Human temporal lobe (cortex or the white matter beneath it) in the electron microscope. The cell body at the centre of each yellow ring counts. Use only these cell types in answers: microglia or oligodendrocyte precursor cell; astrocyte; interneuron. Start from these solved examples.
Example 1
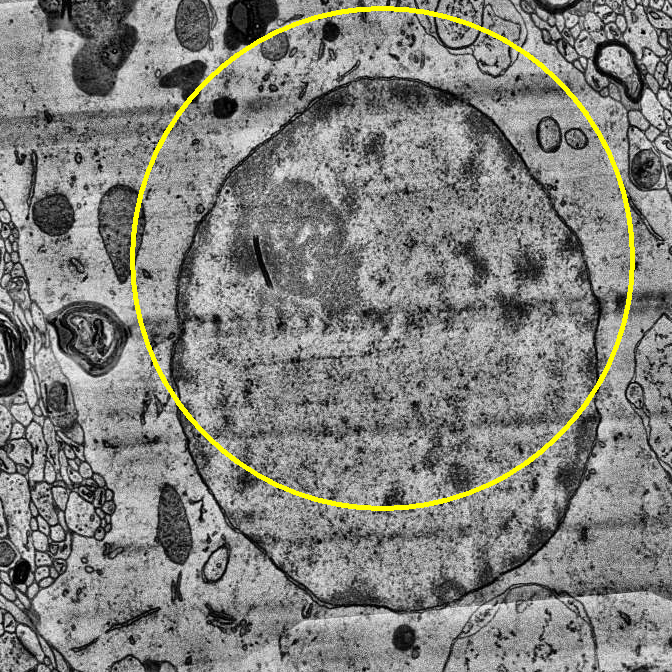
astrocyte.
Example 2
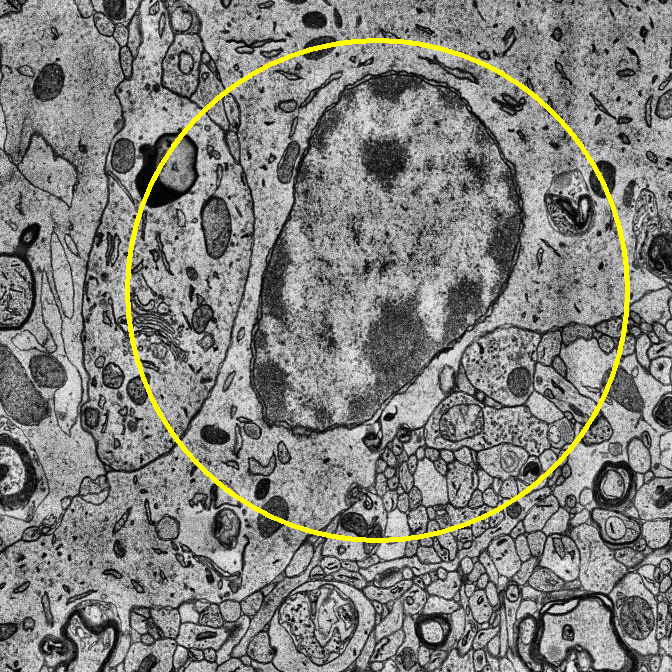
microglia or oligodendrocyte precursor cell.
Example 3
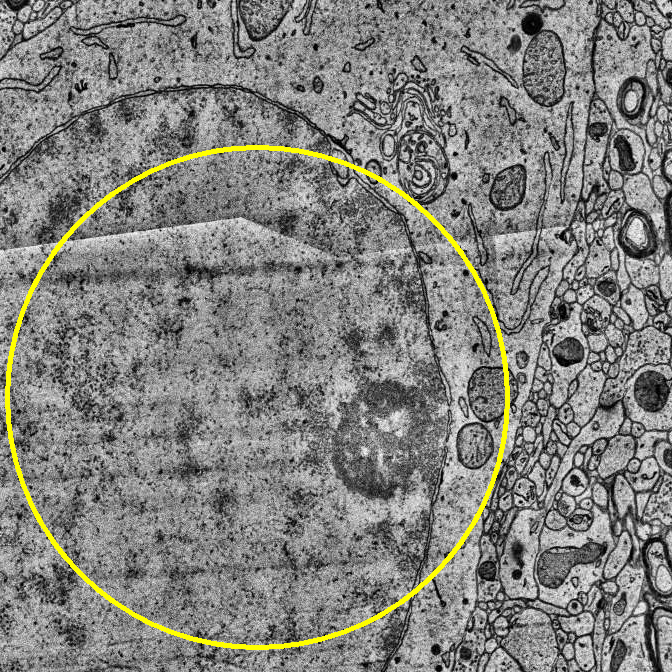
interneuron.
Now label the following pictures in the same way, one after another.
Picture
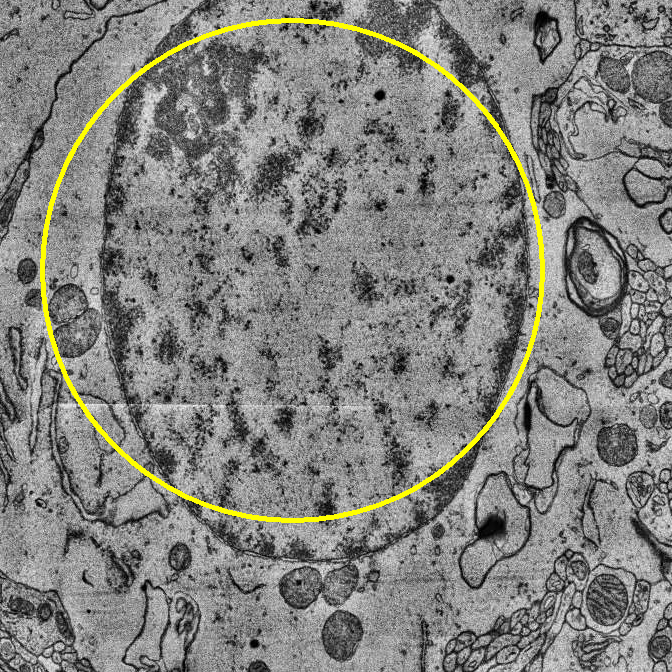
astrocyte.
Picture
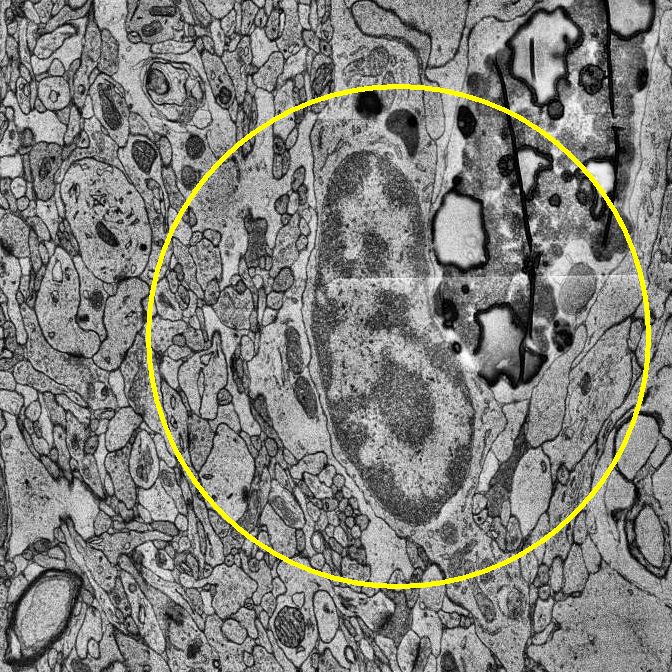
microglia or oligodendrocyte precursor cell.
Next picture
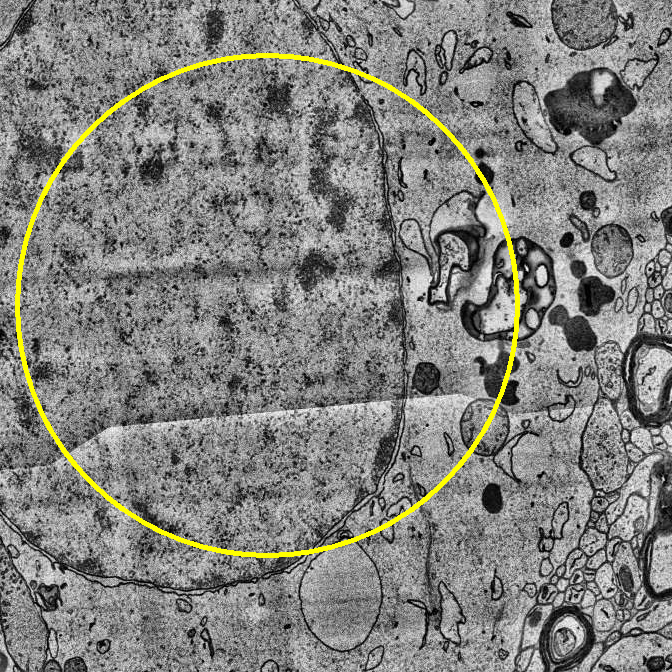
astrocyte.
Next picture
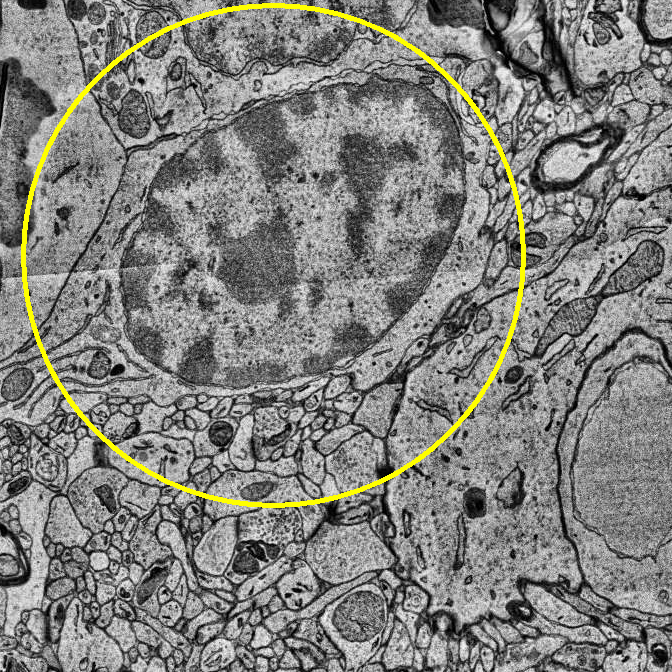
microglia or oligodendrocyte precursor cell.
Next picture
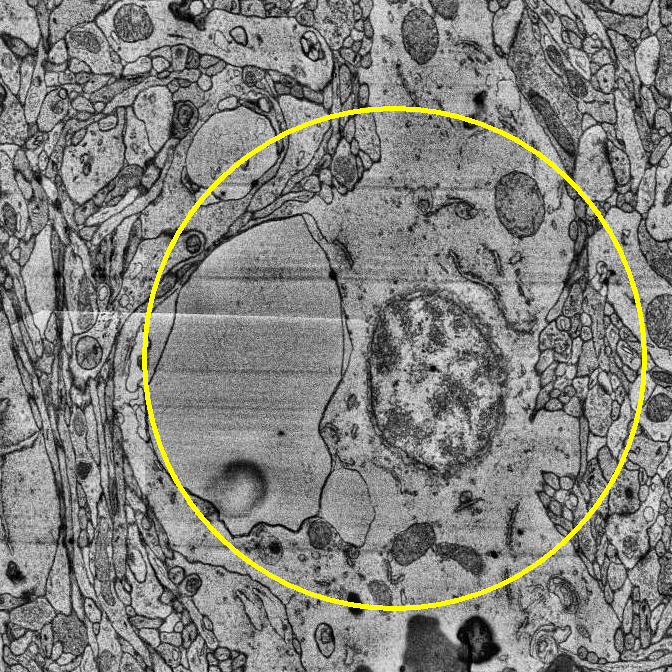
astrocyte.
